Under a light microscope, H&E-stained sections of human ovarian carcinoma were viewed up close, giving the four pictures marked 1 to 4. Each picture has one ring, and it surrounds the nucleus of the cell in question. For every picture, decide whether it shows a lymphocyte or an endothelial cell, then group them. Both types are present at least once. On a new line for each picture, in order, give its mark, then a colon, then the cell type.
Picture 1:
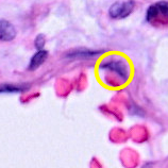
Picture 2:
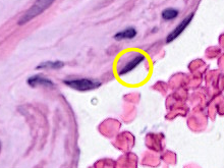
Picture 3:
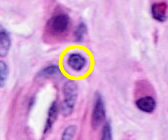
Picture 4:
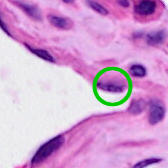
1: endothelial cell
2: endothelial cell
3: lymphocyte
4: endothelial cell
